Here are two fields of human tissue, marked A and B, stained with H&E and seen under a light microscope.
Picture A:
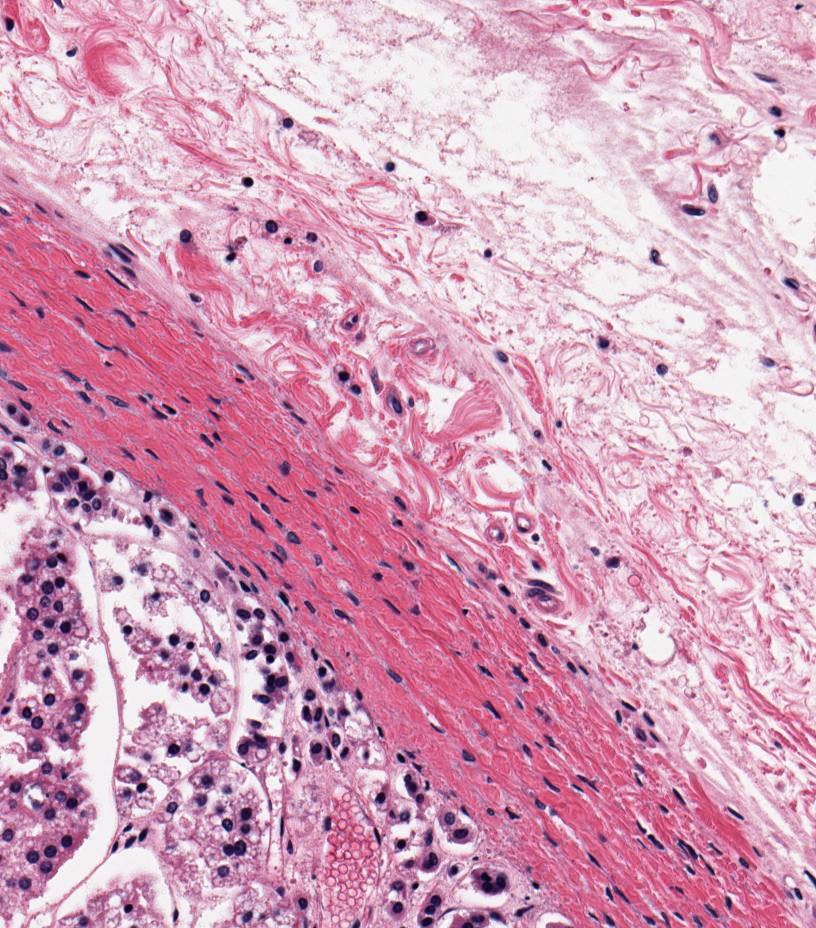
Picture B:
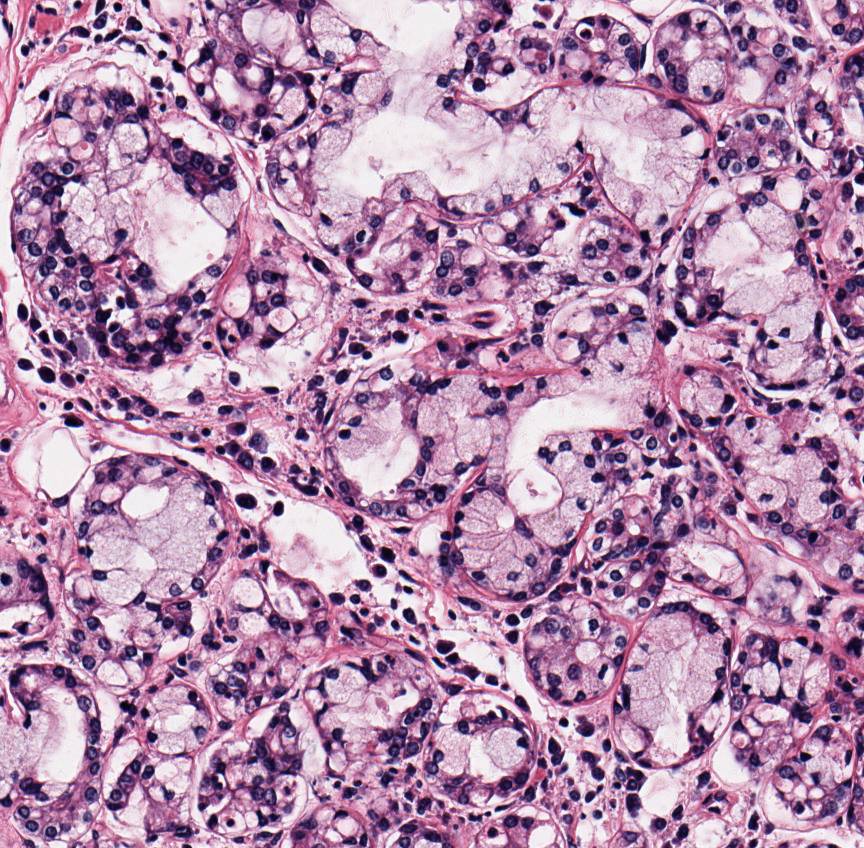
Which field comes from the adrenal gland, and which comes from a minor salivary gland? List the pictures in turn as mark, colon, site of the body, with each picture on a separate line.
A: adrenal gland
B: minor salivary gland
